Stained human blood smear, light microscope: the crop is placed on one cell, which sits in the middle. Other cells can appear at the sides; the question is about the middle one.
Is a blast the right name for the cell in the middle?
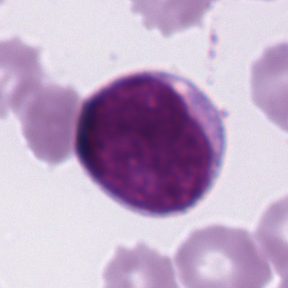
yes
